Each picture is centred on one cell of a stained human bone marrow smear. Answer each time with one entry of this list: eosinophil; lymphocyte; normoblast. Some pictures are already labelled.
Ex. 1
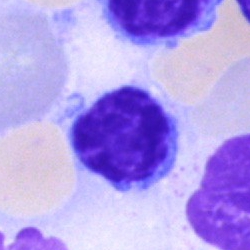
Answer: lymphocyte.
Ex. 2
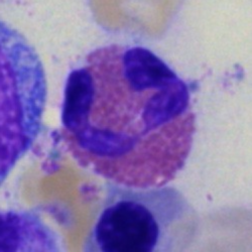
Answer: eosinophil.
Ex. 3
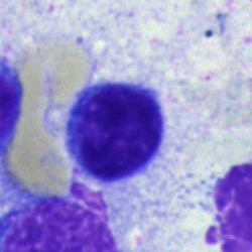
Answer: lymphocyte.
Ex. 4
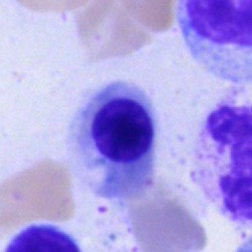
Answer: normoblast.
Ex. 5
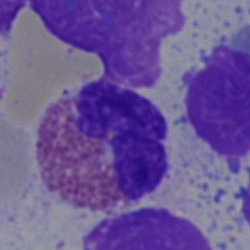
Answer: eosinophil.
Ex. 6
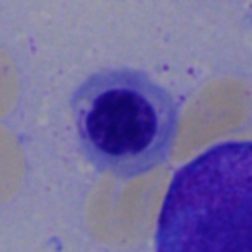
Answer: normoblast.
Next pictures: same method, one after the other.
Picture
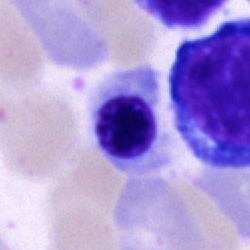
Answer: normoblast.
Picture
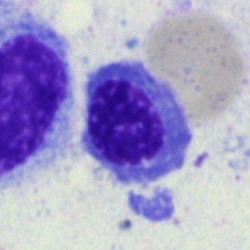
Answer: normoblast.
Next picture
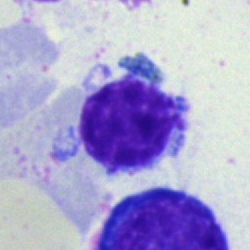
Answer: lymphocyte.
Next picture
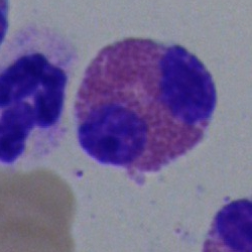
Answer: eosinophil.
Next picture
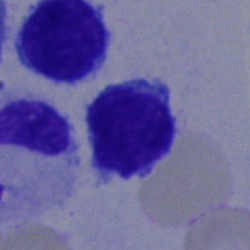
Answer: lymphocyte.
